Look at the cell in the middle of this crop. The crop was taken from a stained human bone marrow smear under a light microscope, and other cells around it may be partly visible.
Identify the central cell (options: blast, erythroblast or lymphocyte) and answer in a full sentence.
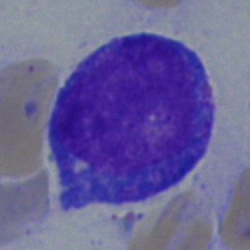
The cell centred in this crop is categorized as a blast.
